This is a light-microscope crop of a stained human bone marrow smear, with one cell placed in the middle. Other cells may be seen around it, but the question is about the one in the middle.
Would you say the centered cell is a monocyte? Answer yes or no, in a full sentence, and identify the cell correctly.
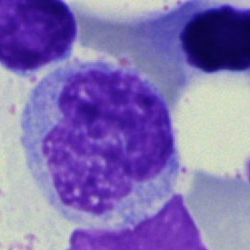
Yes, the cell occupying the middle of the crop is a monocyte.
